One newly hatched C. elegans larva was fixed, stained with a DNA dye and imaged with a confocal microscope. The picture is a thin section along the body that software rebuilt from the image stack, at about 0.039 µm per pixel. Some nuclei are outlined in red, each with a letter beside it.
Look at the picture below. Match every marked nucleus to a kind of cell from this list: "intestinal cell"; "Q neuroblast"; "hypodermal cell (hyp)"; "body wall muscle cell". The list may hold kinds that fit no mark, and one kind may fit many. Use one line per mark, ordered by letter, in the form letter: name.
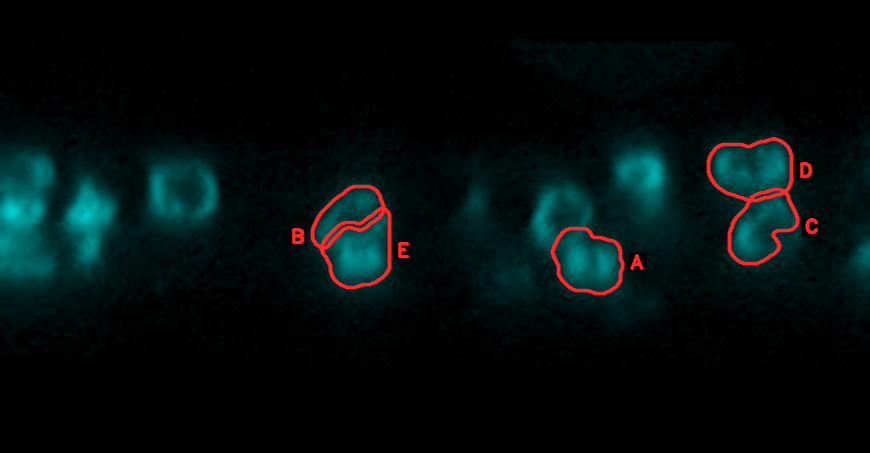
A: body wall muscle cell
B: intestinal cell
C: intestinal cell
D: Q neuroblast
E: body wall muscle cell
